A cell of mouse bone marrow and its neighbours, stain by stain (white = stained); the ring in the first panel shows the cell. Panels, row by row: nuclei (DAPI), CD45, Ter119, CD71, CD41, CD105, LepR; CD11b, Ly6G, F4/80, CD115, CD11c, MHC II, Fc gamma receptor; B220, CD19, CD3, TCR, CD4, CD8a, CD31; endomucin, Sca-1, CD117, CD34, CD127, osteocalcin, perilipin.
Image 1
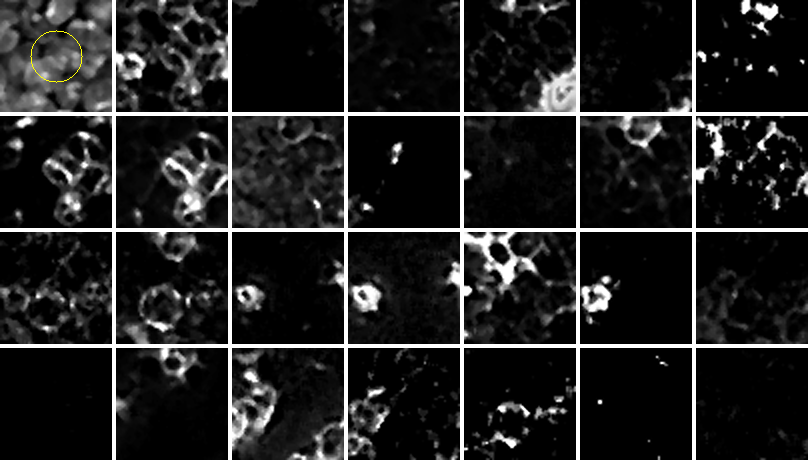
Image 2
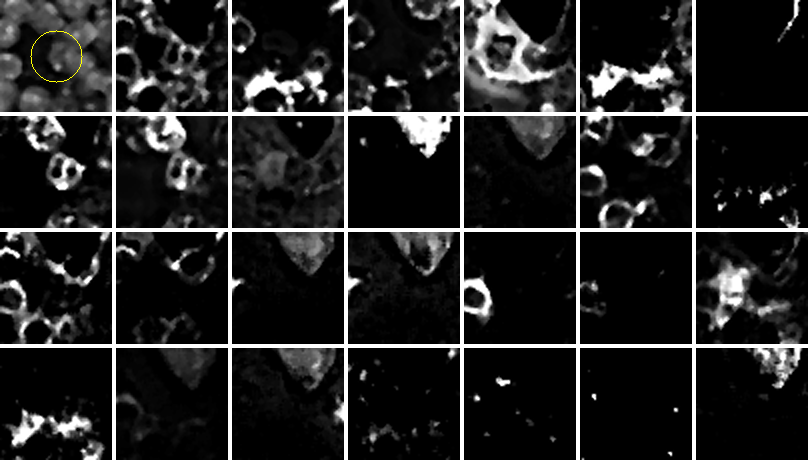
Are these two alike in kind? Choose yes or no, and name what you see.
Yes. Neutrophils.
